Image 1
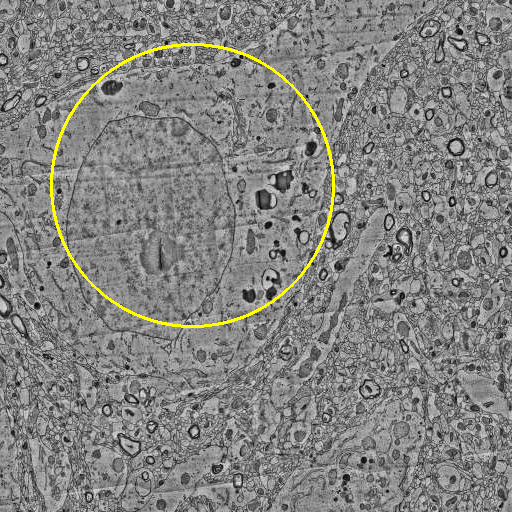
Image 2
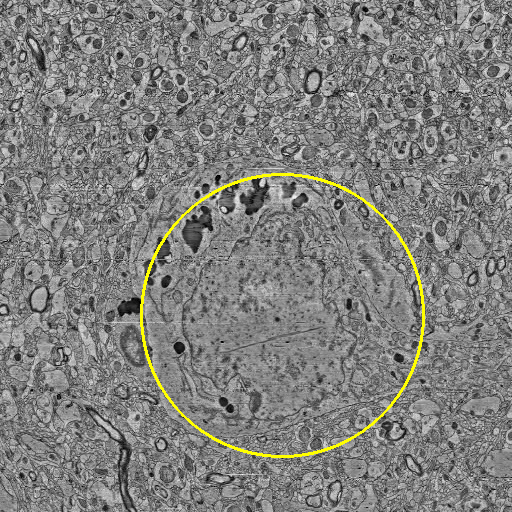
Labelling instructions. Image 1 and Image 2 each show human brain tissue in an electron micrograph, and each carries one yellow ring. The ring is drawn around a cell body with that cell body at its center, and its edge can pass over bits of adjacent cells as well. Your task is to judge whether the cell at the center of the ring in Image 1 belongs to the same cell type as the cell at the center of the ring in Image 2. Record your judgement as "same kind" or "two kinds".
two kinds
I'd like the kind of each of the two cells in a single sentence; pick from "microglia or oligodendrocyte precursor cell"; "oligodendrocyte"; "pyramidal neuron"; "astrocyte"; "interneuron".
The first ring marks a pyramidal neuron, and the second ring marks an interneuron.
